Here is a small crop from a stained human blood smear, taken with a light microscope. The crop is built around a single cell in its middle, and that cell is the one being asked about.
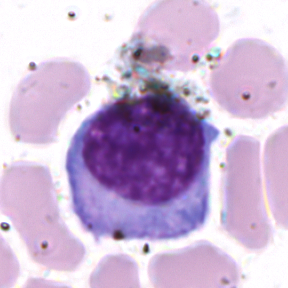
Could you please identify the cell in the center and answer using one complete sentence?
The cell of interest, located centrally, is a plasma cell.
